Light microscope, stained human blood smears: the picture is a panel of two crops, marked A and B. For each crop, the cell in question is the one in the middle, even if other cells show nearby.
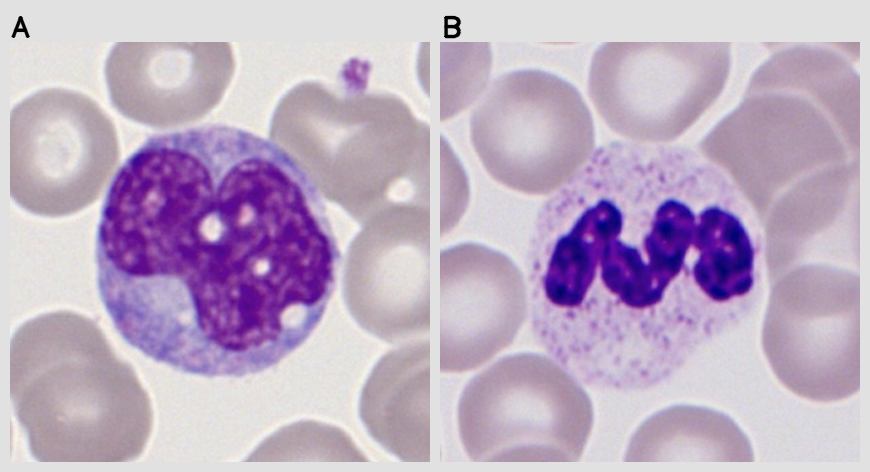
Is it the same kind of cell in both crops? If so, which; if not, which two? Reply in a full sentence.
No, crop B shows a neutrophil, and crop A shows a monocyte.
